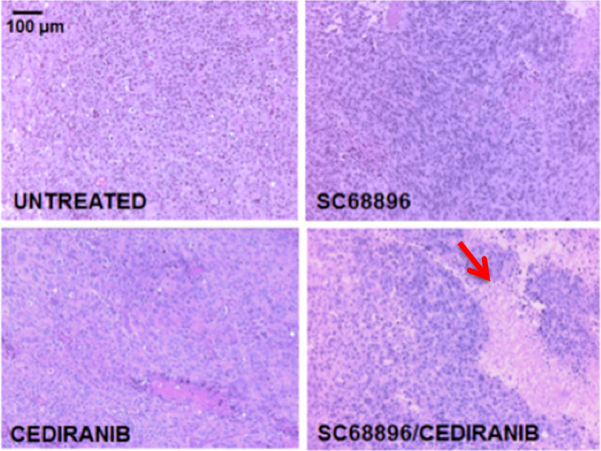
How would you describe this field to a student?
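These are sections of densely cellular tumor tissue stained with hematoxylin and eosin, composed of closely packed cells with purple nuclei forming solid sheets. In most of the fields the tissue is uniformly cellular, with only small pink streaks or vessels between the cells. In one field a broad pale pink, finely vacuolated zone runs through the tissue and contains almost no nuclei, marking an area of necrosis. This necrotic zone is sharply bordered by viable, darkly stained tumor cells on either side.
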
